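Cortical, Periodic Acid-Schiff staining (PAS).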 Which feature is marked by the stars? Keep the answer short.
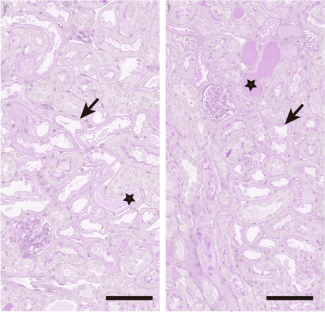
Tubular casts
